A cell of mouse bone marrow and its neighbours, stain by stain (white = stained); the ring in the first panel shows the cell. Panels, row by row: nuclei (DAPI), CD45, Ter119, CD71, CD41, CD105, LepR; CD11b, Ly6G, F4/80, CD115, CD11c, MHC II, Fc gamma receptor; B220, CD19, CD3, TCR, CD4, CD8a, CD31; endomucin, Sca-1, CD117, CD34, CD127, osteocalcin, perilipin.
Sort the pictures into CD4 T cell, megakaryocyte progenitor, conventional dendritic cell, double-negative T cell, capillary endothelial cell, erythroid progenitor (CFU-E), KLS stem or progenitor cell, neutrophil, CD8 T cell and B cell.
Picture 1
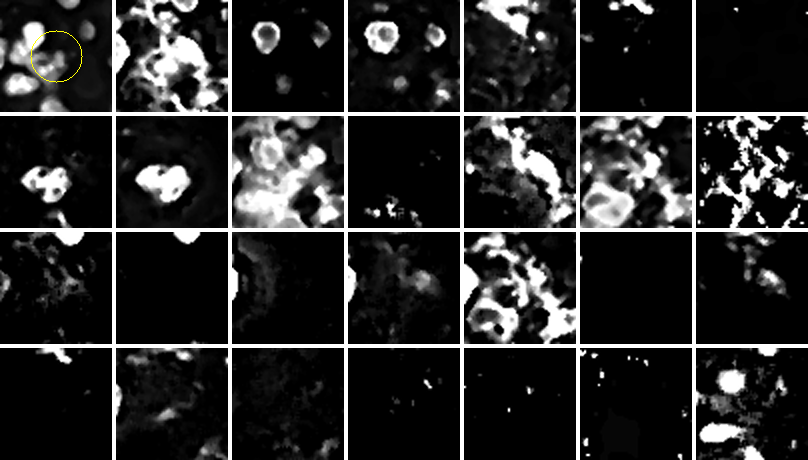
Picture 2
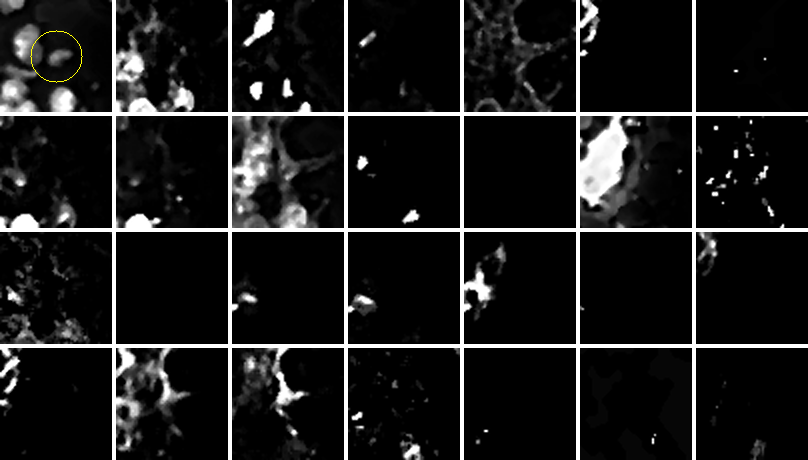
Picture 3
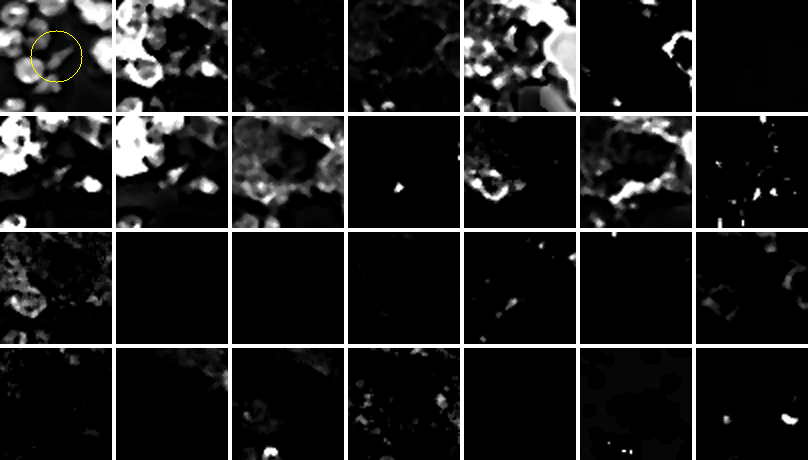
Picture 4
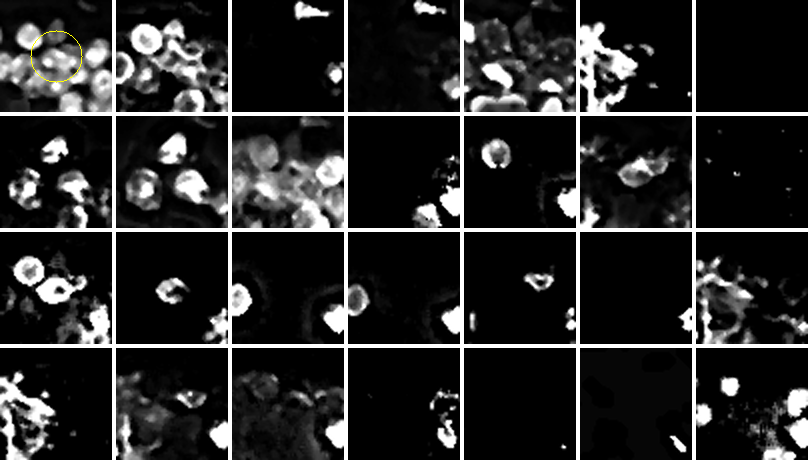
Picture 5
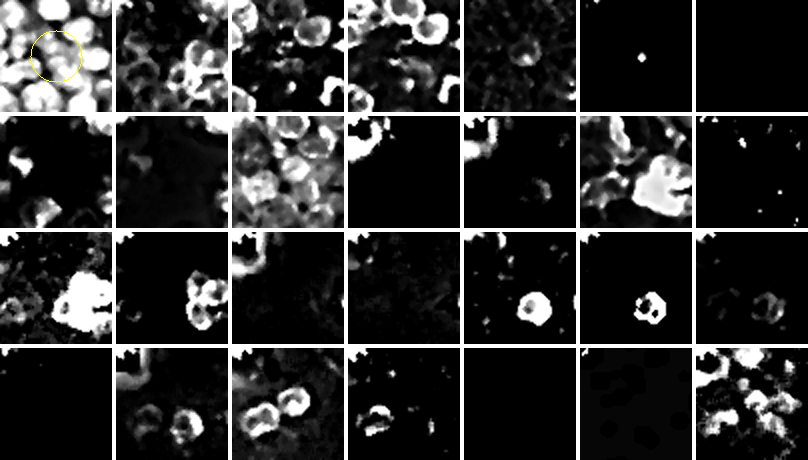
Conventional dendritic cells: 1
KLS stem or progenitor cells: 2
Neutrophils: 3
B cells: 4
Megakaryocyte progenitors: 5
